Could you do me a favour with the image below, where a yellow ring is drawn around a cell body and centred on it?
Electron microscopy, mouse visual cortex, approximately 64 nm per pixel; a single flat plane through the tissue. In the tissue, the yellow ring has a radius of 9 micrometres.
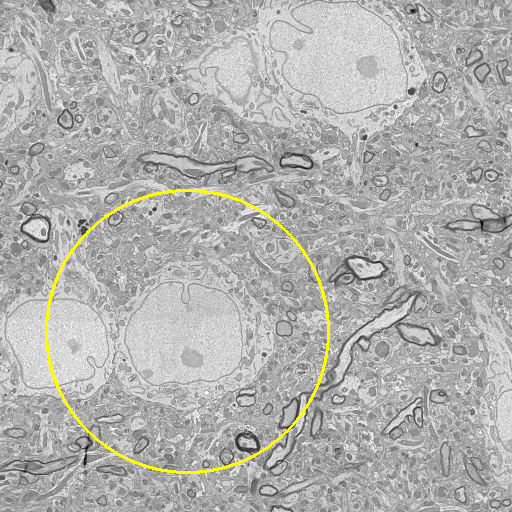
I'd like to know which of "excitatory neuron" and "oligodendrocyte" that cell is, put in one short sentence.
The cell at the ring's centre is an excitatory neuron.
